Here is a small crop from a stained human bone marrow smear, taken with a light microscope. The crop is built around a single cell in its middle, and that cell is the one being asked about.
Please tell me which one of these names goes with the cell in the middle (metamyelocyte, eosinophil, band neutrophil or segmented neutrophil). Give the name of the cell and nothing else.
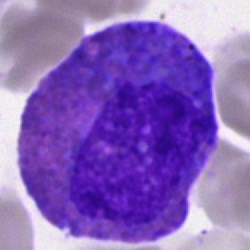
eosinophil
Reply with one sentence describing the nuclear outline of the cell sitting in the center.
In this cell the nucleus is a solitary compact mass, round, oval or kidney-shaped.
